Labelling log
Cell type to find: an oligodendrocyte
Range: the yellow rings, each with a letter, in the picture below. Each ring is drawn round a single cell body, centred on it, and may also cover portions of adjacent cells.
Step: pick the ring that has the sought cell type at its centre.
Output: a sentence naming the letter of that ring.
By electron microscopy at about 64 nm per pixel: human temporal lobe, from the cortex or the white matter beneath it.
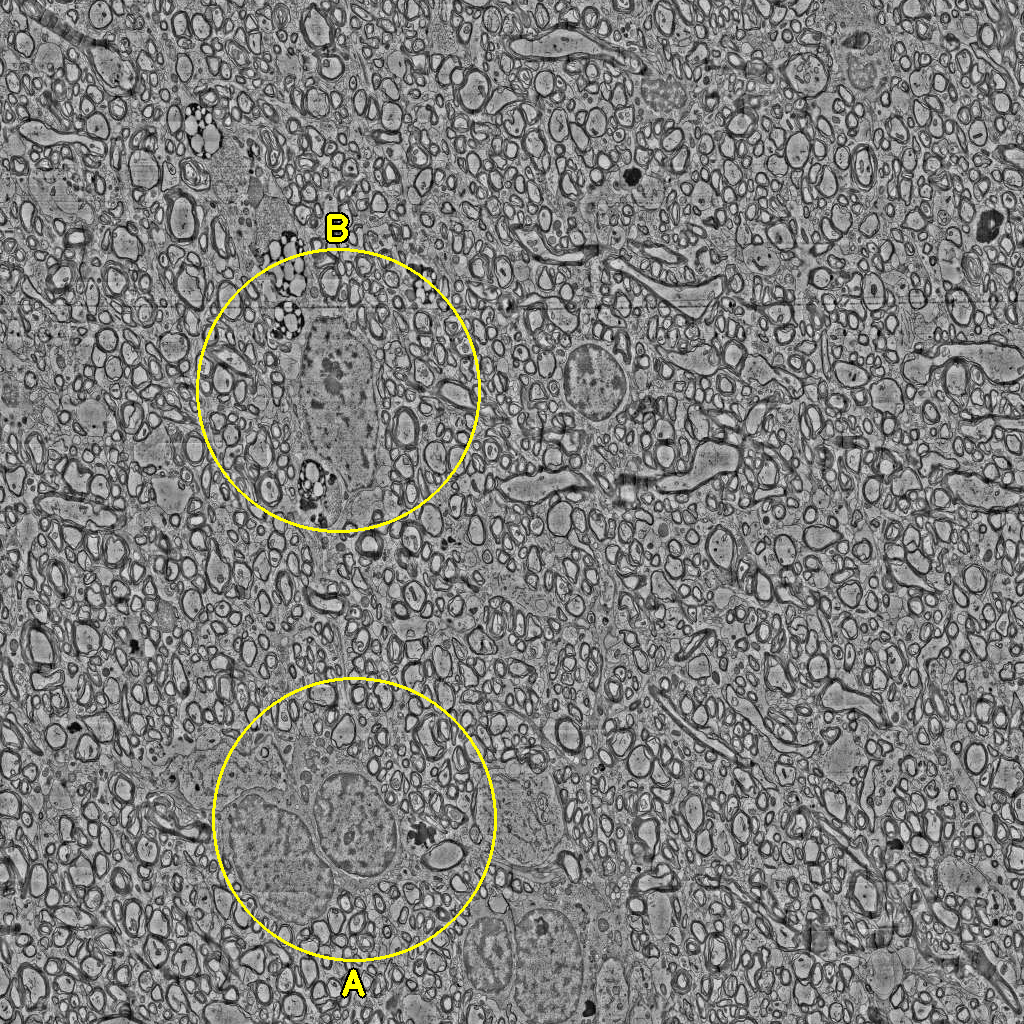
Ring A is the one with the cell asked for at its centre.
